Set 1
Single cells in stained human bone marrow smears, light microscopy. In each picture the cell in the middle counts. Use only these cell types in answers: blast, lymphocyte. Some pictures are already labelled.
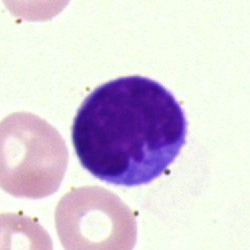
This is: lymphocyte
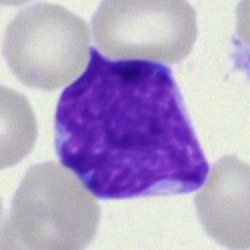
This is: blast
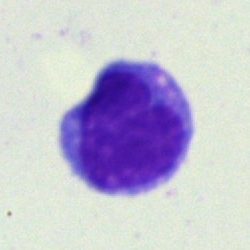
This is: lymphocyte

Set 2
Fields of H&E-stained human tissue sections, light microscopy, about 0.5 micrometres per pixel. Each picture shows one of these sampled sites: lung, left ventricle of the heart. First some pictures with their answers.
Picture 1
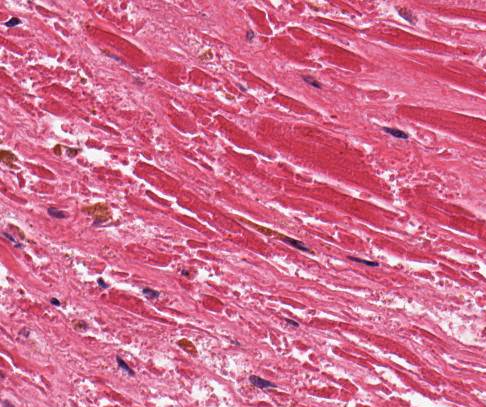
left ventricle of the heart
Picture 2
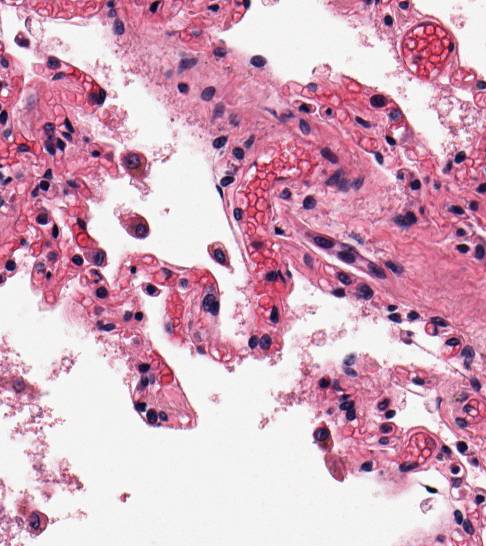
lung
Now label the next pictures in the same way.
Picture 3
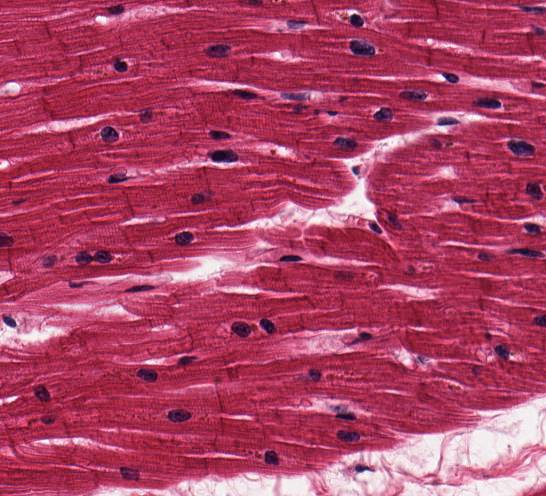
left ventricle of the heart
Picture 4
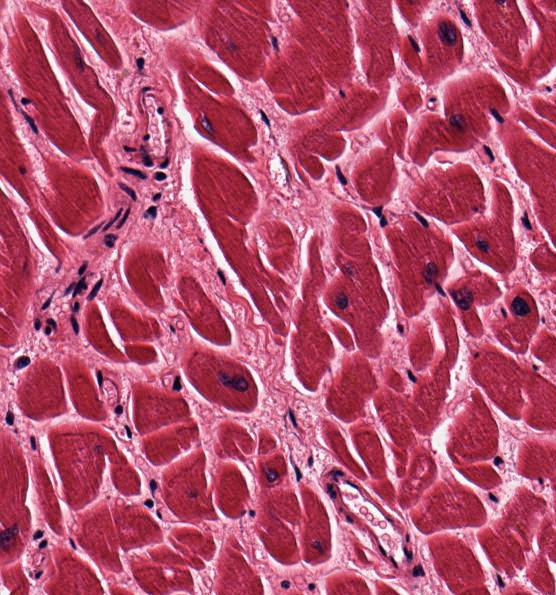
left ventricle of the heart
